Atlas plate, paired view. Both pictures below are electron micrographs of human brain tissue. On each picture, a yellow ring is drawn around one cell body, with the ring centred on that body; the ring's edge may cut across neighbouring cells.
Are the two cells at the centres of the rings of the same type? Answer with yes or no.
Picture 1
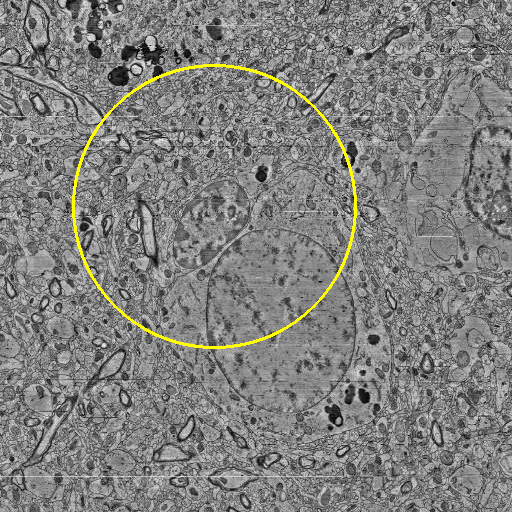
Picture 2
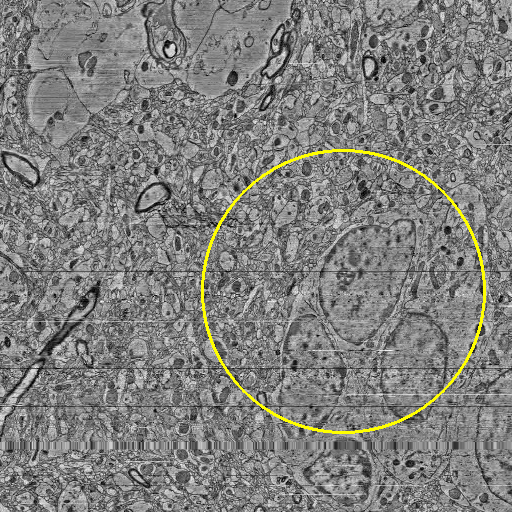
yes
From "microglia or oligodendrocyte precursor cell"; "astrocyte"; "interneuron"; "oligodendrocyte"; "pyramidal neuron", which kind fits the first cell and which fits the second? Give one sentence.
Each of the ringed cells, first and second, is a microglial cell or oligodendrocyte precursor cell.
